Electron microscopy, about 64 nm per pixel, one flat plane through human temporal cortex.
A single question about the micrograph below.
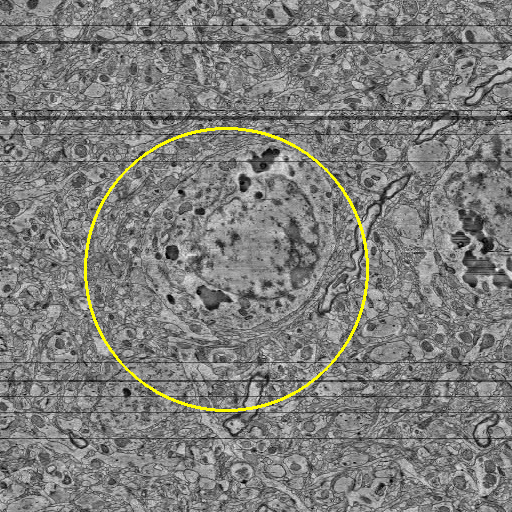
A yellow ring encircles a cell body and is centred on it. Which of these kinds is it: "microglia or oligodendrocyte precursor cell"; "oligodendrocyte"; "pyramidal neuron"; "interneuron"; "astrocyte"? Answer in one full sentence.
The cell body at the centre of the yellow ring belongs to an interneuron.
